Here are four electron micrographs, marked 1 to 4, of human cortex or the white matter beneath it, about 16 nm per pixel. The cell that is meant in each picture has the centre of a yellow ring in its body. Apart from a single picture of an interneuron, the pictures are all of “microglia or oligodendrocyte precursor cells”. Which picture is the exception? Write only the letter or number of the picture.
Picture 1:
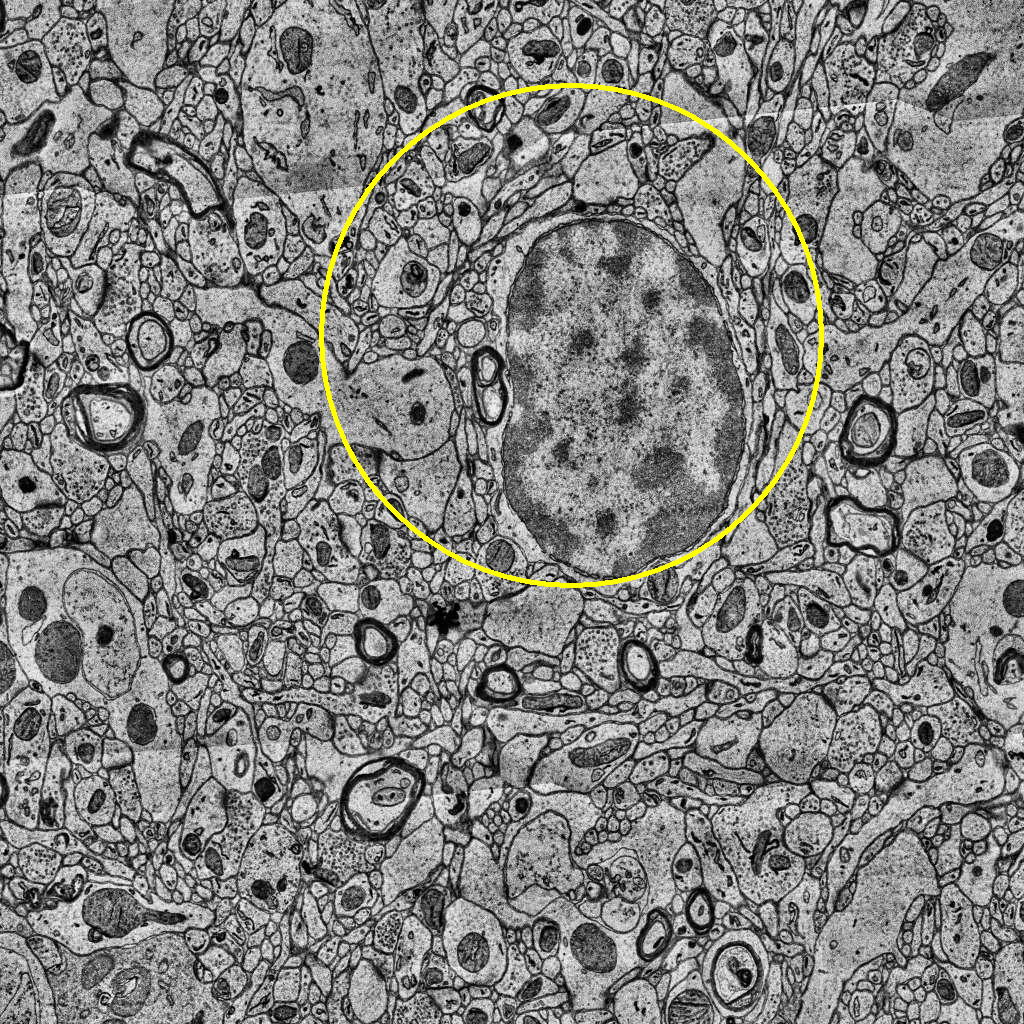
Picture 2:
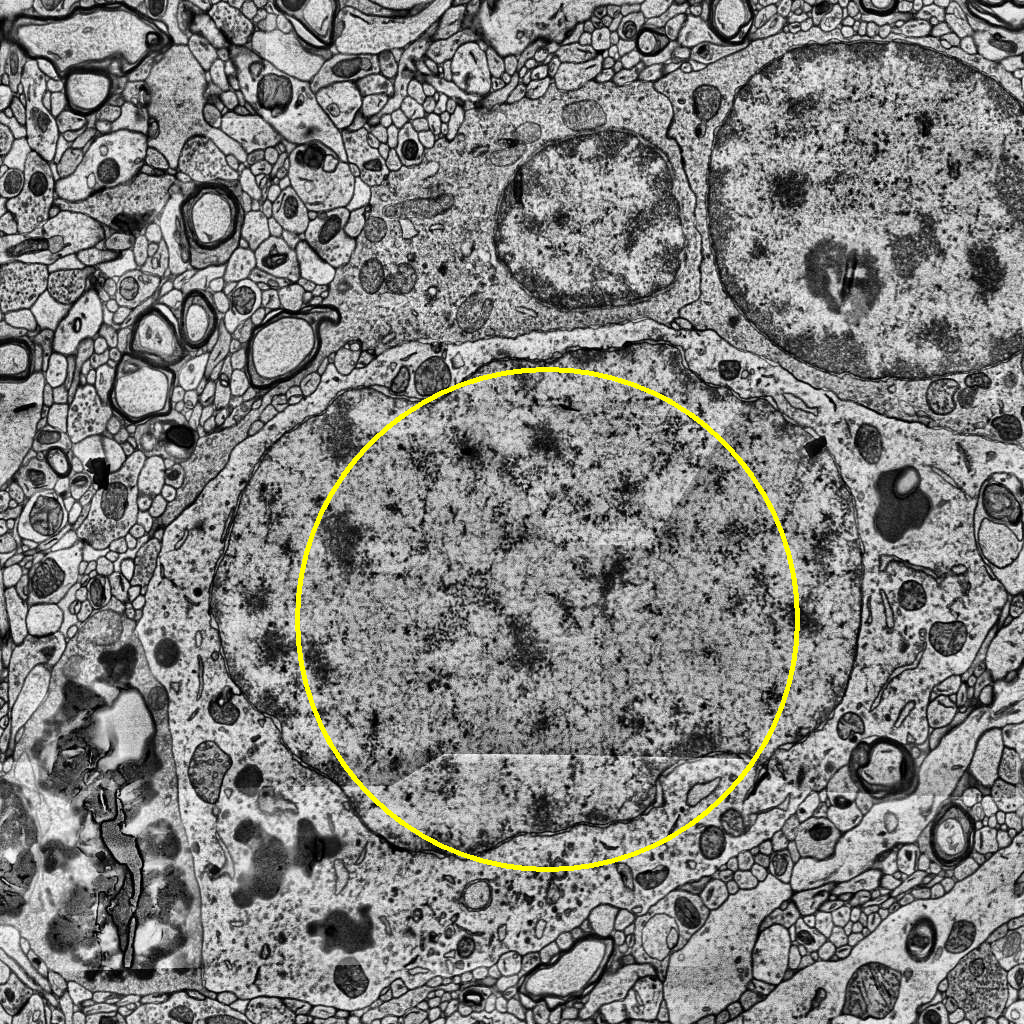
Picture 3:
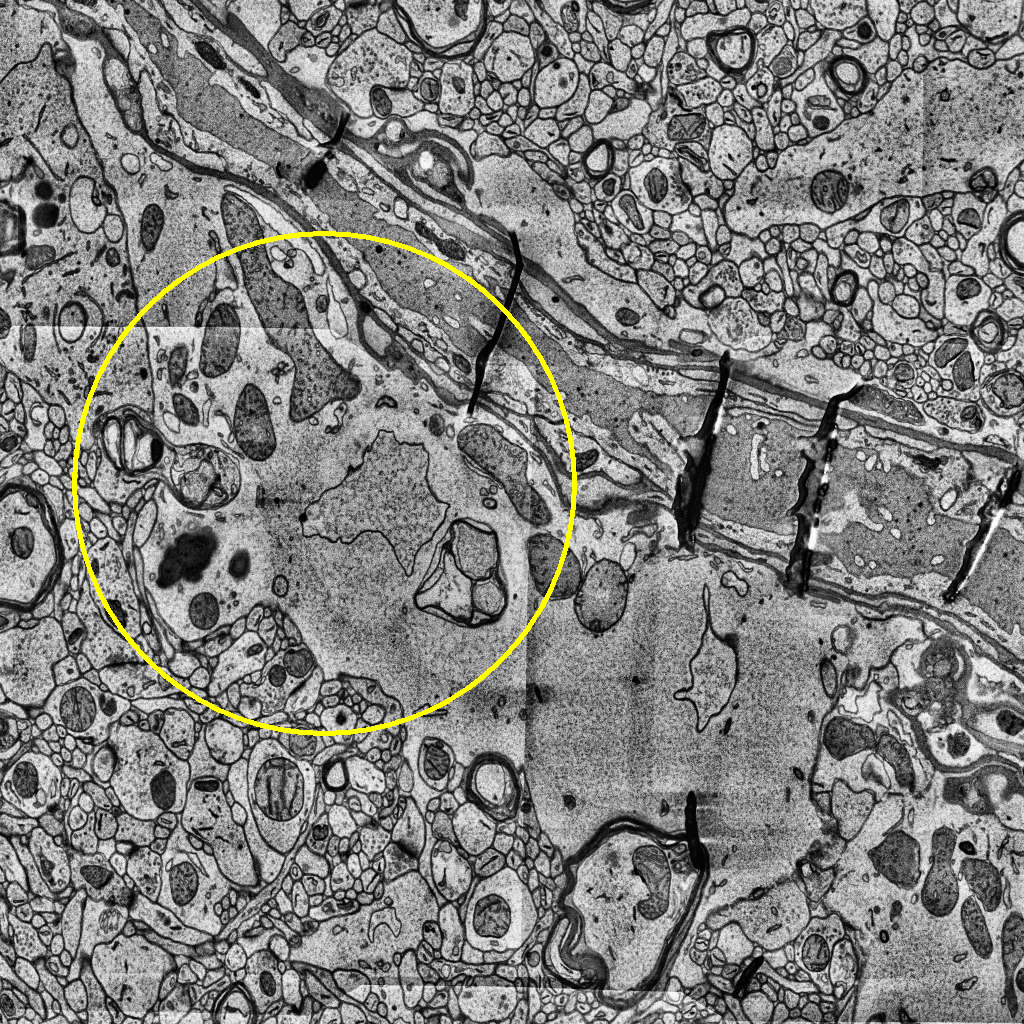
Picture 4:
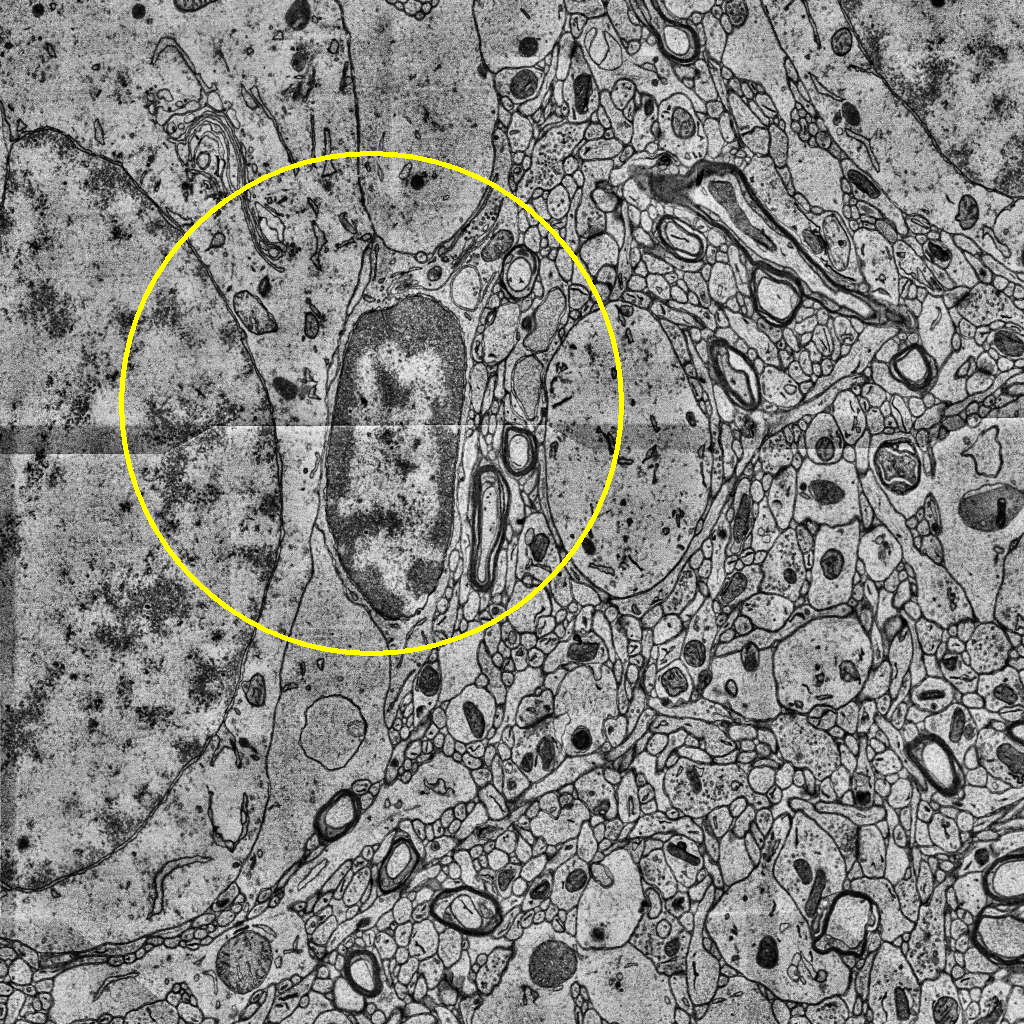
2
